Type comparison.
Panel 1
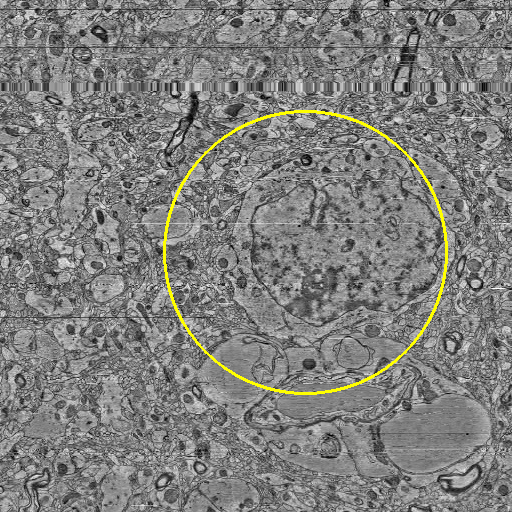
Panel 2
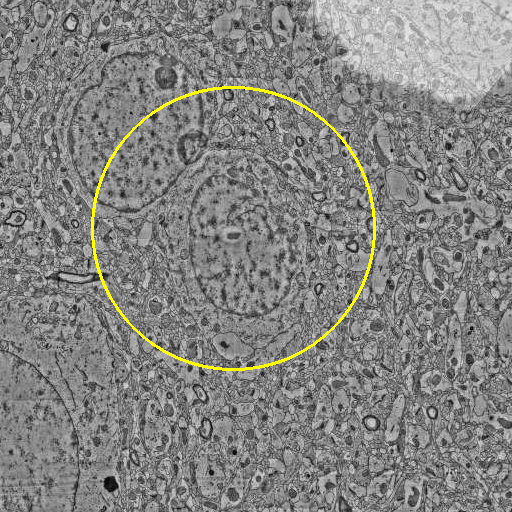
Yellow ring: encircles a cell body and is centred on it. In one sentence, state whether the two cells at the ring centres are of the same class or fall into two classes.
In these panels, the two cells at the ring centres are of the same class.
